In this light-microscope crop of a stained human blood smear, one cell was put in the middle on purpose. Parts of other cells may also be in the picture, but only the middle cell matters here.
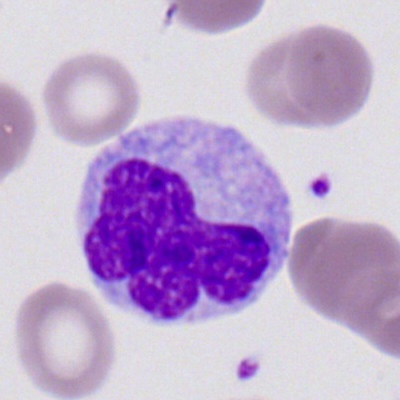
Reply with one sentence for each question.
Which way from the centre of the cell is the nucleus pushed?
It is shifted toward the lower left of the cell.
